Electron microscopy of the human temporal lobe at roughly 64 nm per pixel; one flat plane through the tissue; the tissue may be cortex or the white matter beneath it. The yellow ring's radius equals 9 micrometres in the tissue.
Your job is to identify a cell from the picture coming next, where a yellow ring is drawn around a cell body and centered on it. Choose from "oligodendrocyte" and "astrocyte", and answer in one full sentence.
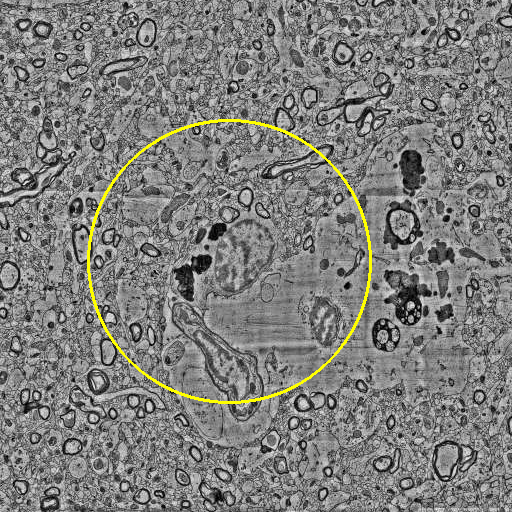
Centered in the yellow ring of the picture is the body of an oligodendrocyte.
